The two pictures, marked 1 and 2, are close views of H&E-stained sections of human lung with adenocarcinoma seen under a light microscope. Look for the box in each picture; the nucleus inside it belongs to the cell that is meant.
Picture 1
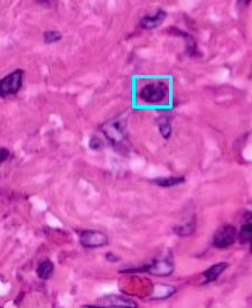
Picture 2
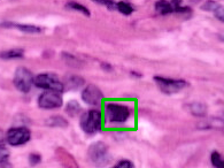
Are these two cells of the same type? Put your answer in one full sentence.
No; the cell in picture 1 is a plasma cell, while the one in picture 2 is a lymphocyte.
